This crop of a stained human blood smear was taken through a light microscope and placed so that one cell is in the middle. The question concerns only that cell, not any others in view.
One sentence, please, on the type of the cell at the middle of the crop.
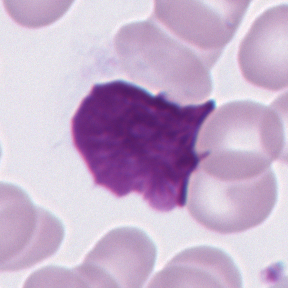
The cell at the heart of this crop is a smudge cell.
